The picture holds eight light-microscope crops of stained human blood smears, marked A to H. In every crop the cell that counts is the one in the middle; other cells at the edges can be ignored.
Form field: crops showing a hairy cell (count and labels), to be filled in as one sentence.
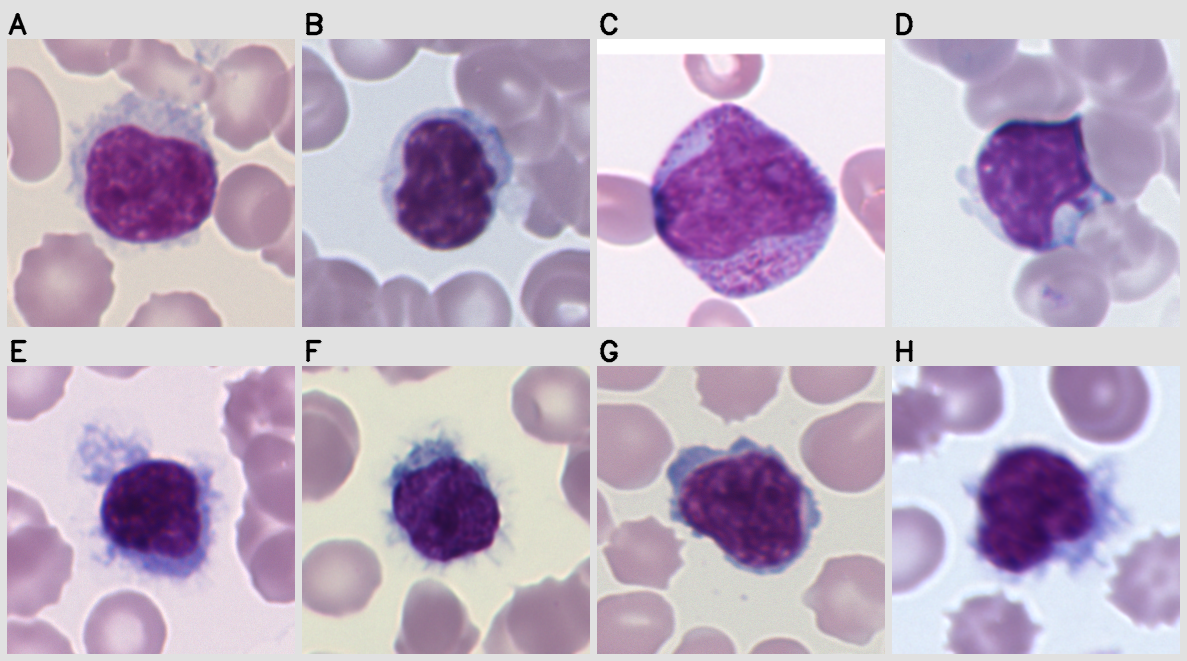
Those crops showing hairy cells, four in all, are A, E, F and H.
